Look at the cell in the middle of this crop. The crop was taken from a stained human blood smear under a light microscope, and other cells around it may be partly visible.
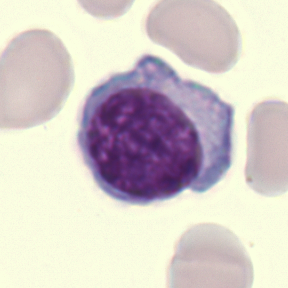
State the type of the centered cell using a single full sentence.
This crop is built around a plasma cell at its centre.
